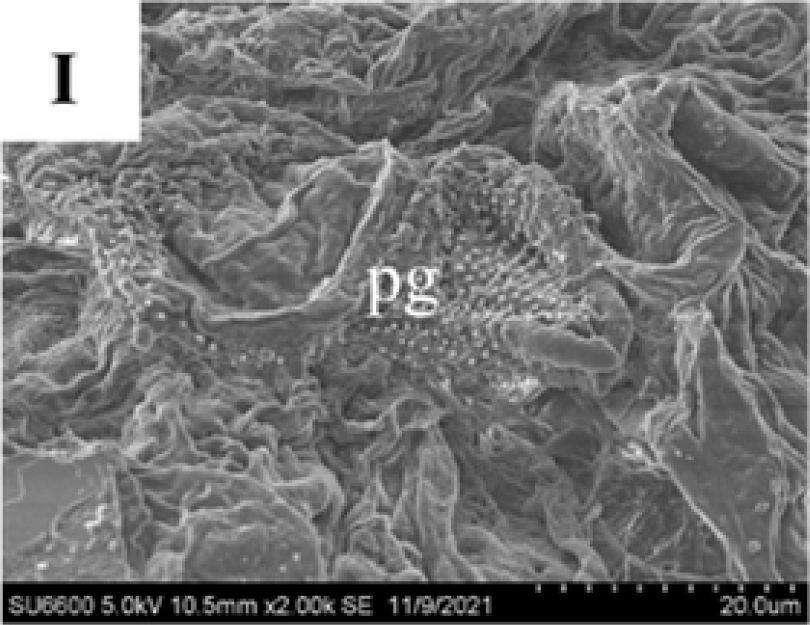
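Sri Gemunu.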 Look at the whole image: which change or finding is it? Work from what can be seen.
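Spiny pollen surfaces are flattened and collapsed rather than round. They lie sunk among the folds of the surface. On this evidence: shrank and shriveled.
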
